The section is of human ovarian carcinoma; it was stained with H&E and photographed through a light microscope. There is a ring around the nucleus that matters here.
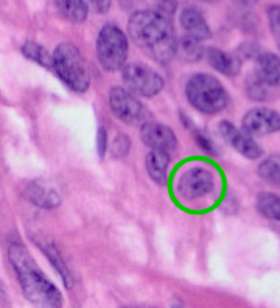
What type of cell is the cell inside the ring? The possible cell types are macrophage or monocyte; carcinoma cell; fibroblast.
macrophage or monocyte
